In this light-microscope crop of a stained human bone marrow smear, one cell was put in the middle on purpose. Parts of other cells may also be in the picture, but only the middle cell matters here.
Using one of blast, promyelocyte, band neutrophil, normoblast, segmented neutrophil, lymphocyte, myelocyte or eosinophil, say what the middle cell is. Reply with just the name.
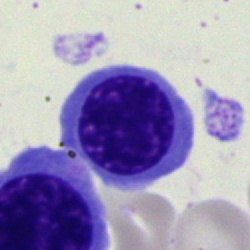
normoblast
